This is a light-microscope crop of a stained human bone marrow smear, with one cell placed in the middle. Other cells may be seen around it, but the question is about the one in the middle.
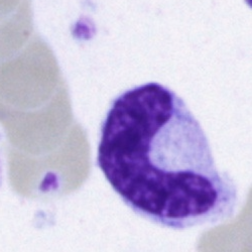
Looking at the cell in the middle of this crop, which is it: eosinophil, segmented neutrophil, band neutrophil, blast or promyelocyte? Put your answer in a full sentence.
The centered cell in this crop is a band neutrophil.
